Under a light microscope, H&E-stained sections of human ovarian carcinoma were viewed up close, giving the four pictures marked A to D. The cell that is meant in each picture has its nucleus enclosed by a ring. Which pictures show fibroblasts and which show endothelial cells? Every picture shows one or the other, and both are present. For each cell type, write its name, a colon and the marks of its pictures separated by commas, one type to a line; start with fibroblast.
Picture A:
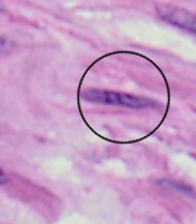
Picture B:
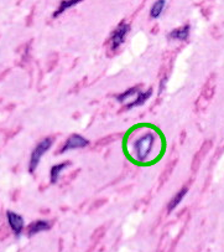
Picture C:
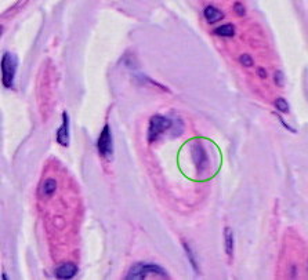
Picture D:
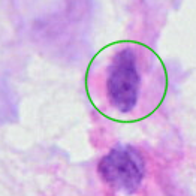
fibroblast: A, B, D
endothelial cell: C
